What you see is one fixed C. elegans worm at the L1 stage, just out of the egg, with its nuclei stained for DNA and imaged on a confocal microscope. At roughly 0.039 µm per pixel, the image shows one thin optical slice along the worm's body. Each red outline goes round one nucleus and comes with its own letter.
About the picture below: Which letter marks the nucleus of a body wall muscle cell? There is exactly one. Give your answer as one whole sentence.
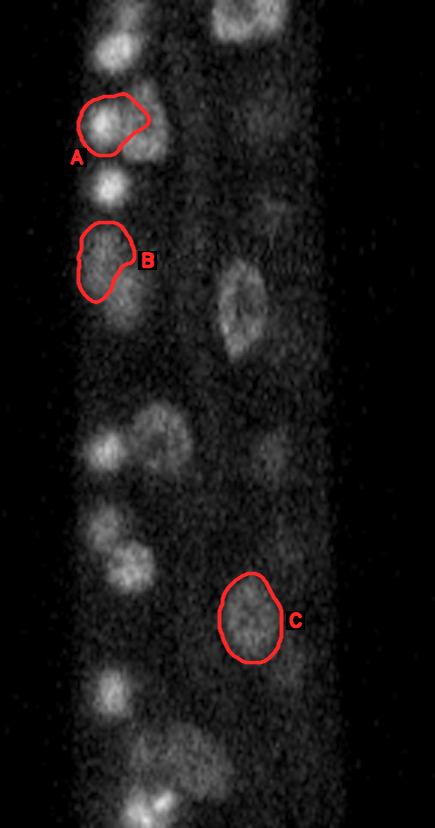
Of the marked nuclei, B is the one in a body wall muscle cell.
